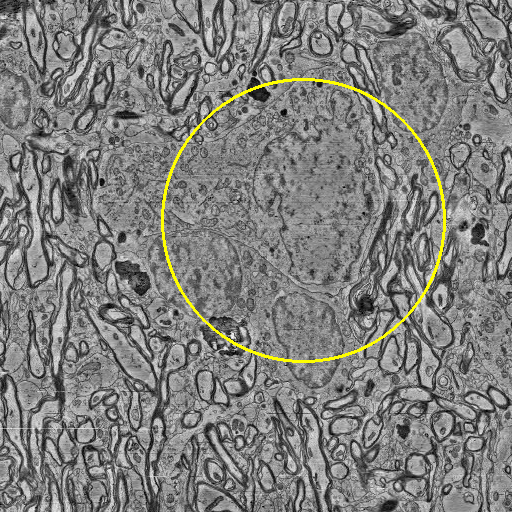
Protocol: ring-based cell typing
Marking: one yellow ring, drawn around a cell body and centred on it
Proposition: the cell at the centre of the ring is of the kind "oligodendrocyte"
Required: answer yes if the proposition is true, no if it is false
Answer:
no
